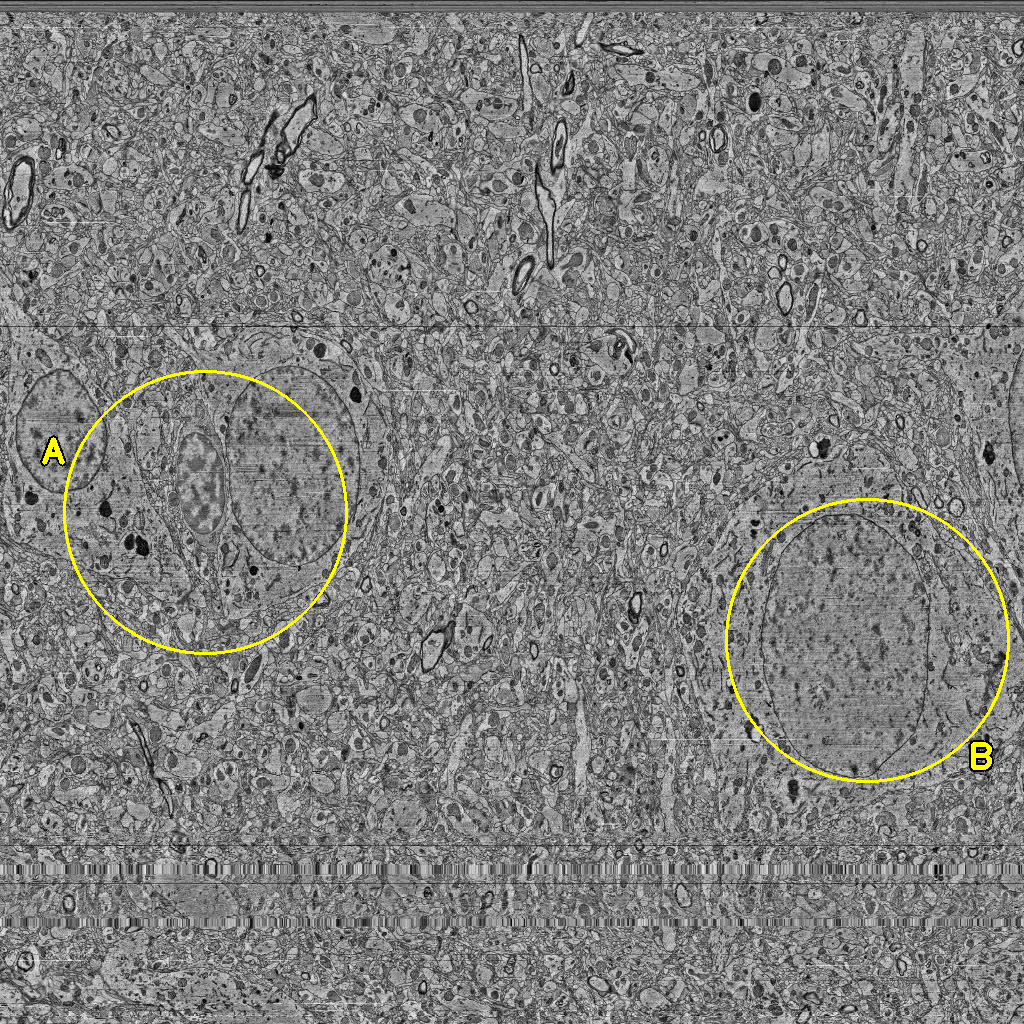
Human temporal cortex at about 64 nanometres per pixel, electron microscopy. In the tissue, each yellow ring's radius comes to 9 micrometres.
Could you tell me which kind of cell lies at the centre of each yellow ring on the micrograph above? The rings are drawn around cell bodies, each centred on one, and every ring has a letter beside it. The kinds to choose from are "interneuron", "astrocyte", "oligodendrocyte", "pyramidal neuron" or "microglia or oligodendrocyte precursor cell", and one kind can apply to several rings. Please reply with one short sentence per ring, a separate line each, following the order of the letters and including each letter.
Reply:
Ring A circles an oligodendrocyte.
Ring B circles a pyramidal neuron.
